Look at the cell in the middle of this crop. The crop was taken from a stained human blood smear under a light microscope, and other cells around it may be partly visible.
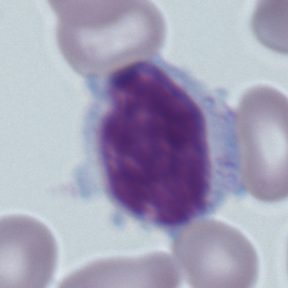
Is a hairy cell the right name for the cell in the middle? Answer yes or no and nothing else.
no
